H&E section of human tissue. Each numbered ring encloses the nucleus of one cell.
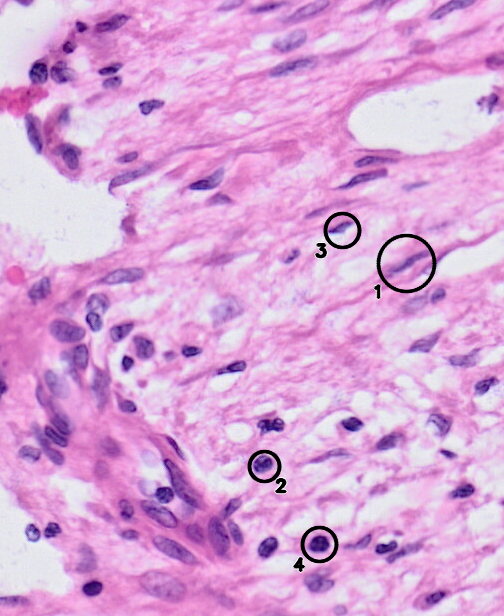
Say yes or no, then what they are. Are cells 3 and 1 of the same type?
Yes, fibroblasts or myofibroblasts are what cells 3 and 1 both are.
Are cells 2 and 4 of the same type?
No, cell 2 is interpreted as a lymphocyte, and cell 4 is interpreted as a plasma cell.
